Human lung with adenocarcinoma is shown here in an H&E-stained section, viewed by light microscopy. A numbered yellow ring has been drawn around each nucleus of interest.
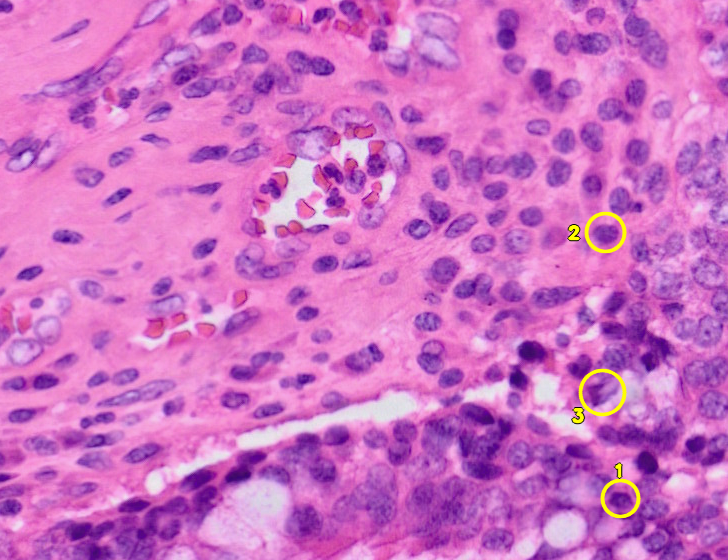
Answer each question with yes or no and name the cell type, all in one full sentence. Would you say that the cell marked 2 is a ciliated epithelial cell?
No, a plasma cell is what cell 2 is, not a ciliated epithelial cell.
